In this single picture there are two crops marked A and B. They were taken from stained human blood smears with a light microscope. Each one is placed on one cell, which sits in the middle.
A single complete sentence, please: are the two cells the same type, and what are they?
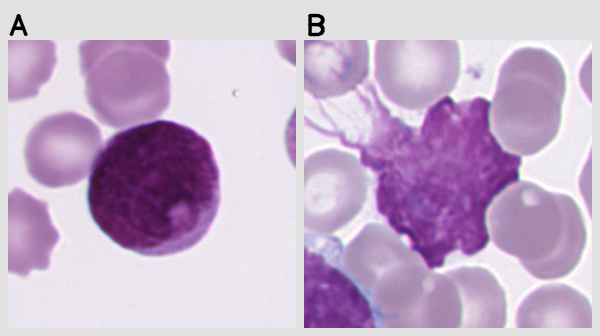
No, crop B shows a smudge cell, and crop A shows a myeloblast.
